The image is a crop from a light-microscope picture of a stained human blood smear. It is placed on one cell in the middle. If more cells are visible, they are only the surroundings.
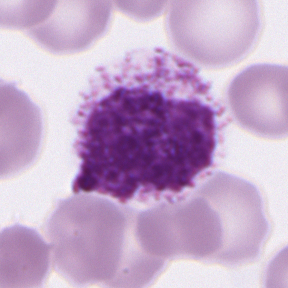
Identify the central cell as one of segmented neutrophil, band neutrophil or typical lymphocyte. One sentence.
The centrally located cell in the crop is a band neutrophil.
